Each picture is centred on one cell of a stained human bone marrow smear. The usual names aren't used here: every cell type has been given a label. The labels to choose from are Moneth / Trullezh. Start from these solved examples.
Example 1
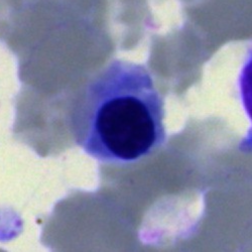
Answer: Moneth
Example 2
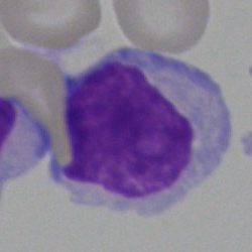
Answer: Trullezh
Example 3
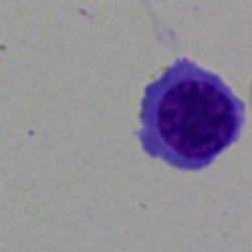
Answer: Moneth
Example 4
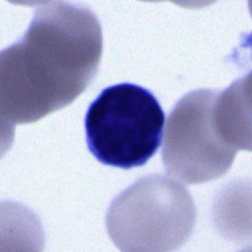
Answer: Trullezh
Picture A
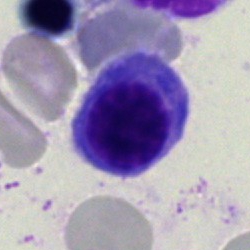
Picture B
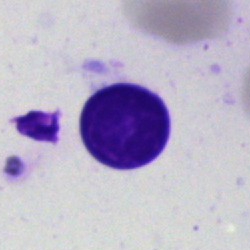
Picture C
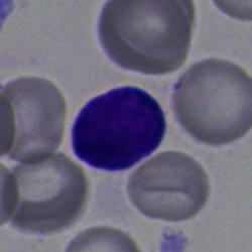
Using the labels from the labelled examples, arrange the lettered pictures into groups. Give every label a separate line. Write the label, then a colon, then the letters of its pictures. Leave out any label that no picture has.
Moneth: A
Trullezh: B, C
